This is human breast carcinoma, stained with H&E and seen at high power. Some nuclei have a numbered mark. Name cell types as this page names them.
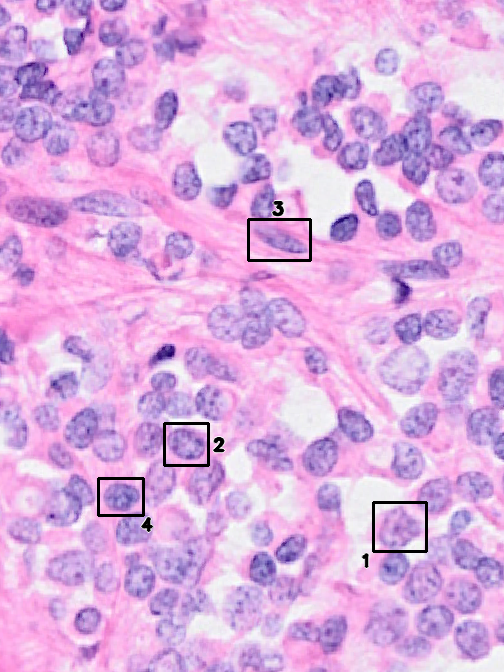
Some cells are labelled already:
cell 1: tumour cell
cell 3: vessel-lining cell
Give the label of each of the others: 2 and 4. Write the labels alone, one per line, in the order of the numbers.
tumour cell
tumour cell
